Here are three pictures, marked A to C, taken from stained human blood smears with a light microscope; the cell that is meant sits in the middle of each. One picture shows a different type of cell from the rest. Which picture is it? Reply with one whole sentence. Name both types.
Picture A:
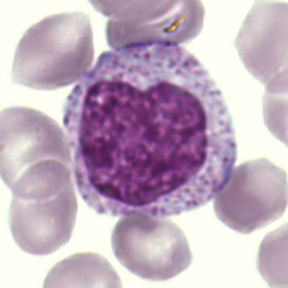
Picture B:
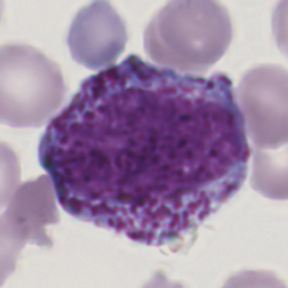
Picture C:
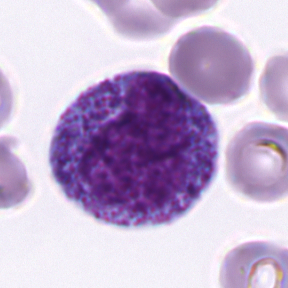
The others show promyelocytes, but picture A shows a myelocyte.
